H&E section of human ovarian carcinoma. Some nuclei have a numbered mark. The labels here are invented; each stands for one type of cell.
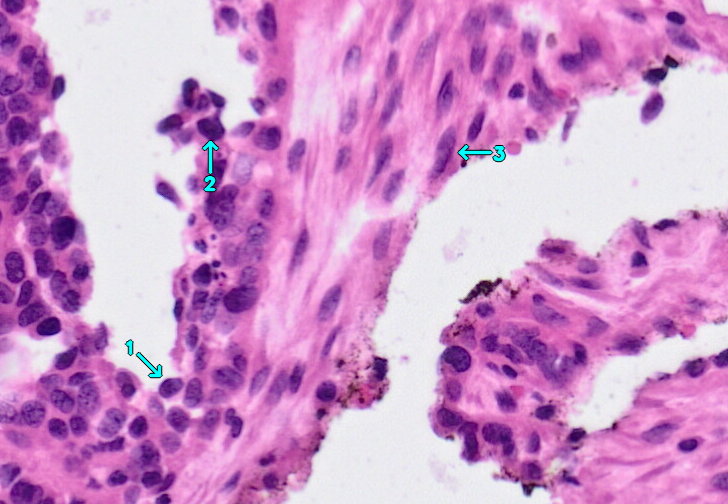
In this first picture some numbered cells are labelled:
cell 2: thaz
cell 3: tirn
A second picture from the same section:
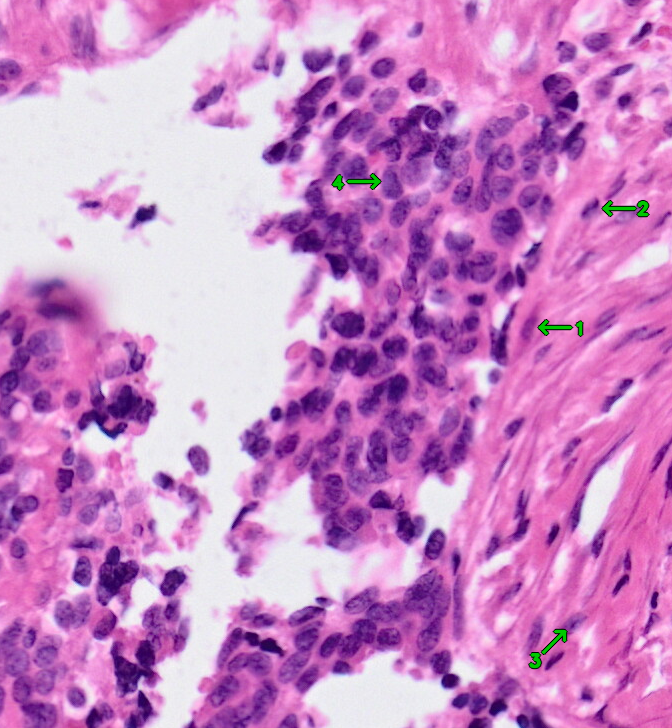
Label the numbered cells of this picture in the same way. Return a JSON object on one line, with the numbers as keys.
{"1": "tirn", "2": "tirn", "3": "tirn", "4": "thaz"}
